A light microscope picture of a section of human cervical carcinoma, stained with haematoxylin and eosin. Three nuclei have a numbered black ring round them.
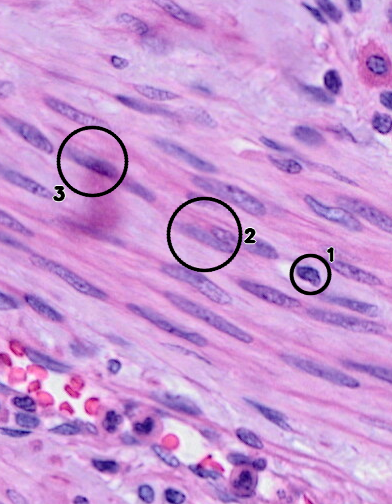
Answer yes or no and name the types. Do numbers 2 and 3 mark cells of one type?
Yes, both are smooth muscle cells.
